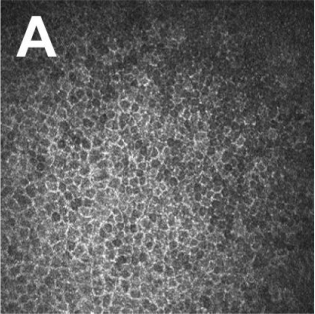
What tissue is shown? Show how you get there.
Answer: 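Basal cell layer of the corneal epithelium. A regular mosaic of small, tightly packed polygonal cells fills the field. Cells have bright thin borders and dark interiors.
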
